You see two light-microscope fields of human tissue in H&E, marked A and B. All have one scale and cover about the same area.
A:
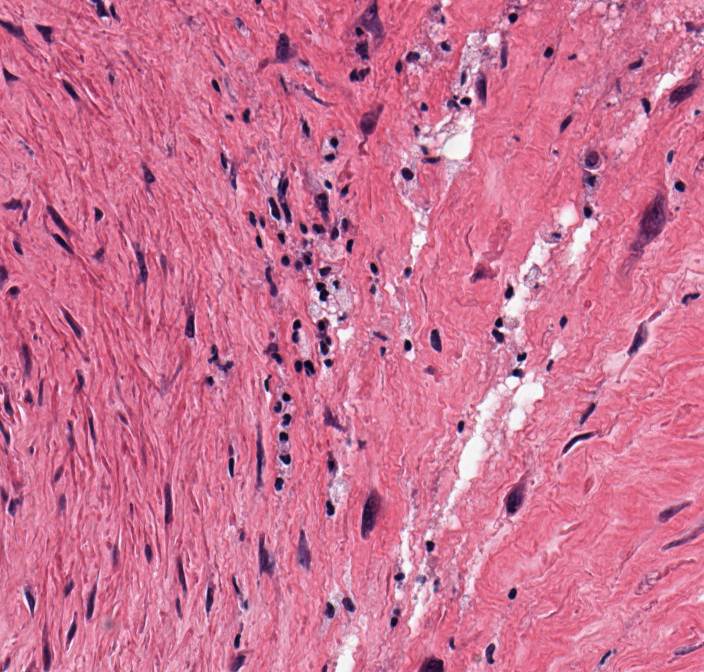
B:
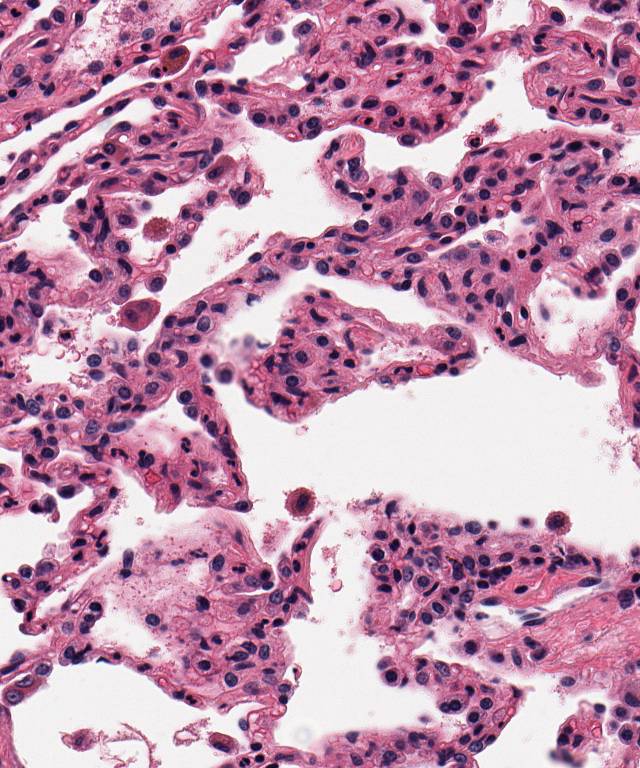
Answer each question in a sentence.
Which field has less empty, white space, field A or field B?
It is field A that stained tissue fills more completely.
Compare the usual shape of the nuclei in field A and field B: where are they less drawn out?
Rounder nuclei lie in field B.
